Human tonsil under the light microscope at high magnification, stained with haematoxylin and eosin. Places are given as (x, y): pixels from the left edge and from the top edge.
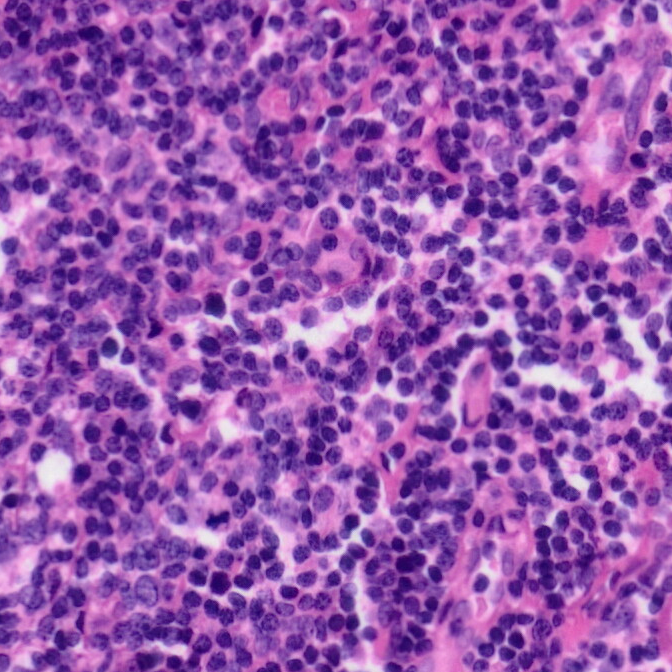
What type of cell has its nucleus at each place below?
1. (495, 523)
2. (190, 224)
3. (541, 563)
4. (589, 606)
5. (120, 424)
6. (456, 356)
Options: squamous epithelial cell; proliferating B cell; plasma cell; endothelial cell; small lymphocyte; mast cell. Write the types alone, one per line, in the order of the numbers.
endothelial cell
small lymphocyte
small lymphocyte
endothelial cell
small lymphocyte
small lymphocyte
